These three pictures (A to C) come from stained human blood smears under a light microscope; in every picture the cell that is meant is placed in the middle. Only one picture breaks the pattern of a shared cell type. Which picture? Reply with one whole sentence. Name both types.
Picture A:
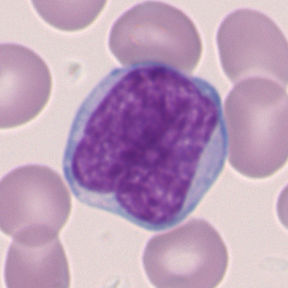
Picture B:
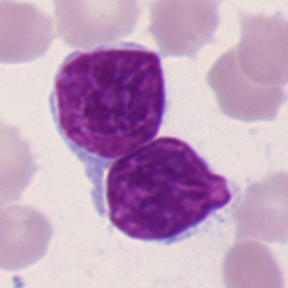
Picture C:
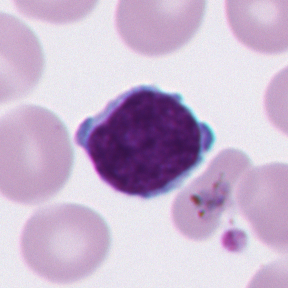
Picture C differs, because its cell is a typical lymphocyte and the rest are myeloblasts.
